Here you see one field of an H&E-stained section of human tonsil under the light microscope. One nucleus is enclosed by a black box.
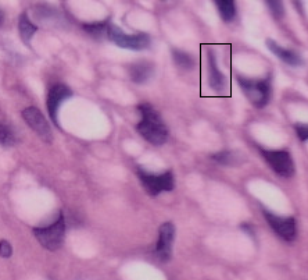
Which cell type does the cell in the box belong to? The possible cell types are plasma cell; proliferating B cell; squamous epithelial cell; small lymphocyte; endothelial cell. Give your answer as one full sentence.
The identity of the cell in the box: it is a squamous epithelial cell.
